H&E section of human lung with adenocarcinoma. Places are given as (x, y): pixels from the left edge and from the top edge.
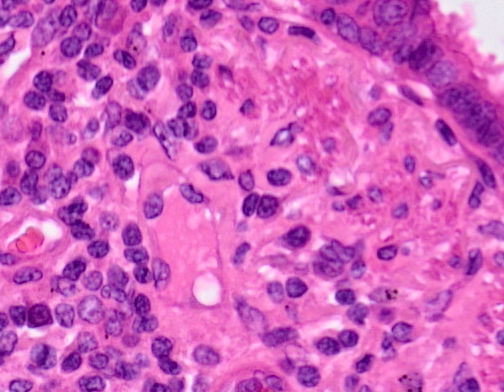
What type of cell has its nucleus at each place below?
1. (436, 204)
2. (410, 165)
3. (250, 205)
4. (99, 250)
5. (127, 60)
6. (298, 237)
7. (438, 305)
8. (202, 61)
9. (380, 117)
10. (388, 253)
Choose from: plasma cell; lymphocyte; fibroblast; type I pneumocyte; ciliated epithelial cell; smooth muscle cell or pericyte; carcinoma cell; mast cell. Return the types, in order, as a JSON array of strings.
["smooth muscle cell or pericyte", "smooth muscle cell or pericyte", "lymphocyte", "lymphocyte", "lymphocyte", "plasma cell", "fibroblast", "lymphocyte", "mast cell", "mast cell"]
